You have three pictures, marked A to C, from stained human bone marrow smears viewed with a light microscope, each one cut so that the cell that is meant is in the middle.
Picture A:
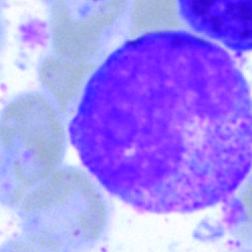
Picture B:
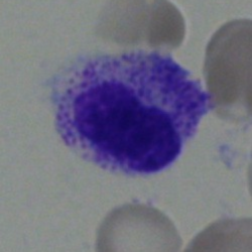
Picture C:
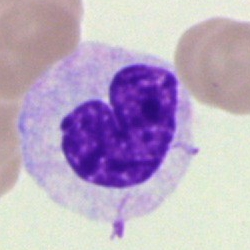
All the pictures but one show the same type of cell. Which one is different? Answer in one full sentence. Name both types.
Picture C differs, because its cell is a band neutrophil and the rest are metamyelocytes.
